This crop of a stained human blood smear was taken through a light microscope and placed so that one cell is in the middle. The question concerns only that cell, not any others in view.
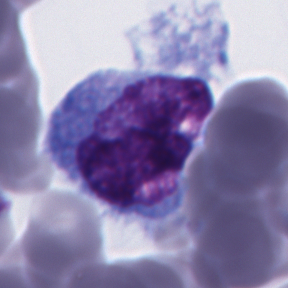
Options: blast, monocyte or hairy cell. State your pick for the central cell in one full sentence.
In the center of this field lies a monocyte.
